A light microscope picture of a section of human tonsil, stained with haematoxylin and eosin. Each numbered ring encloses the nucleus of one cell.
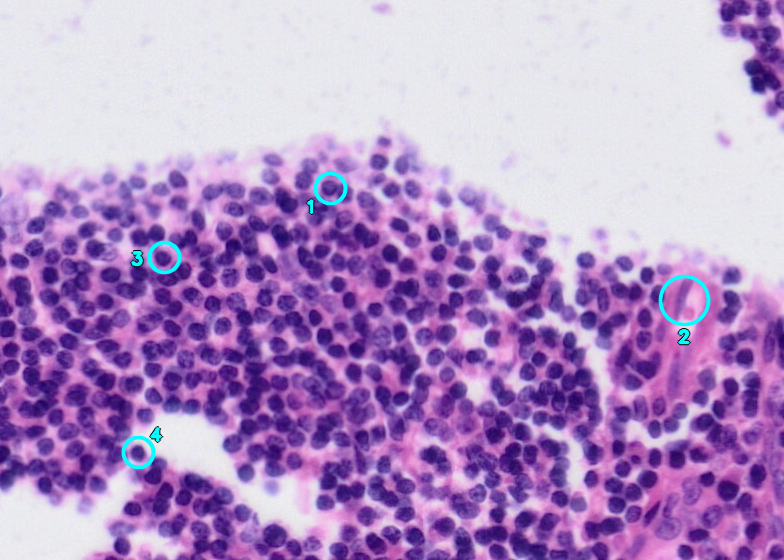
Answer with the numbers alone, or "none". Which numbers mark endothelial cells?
2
